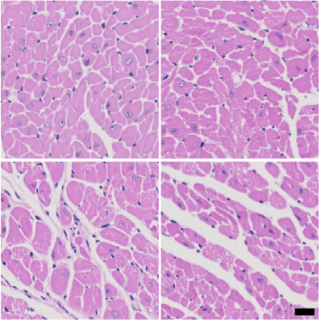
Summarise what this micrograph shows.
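These are sections of heart muscle showing cardiomyocytes stained pink, arranged in four images. The cells are closely packed polygonal and elongated profiles with oval purple nuclei, separated by thin pale spaces.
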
